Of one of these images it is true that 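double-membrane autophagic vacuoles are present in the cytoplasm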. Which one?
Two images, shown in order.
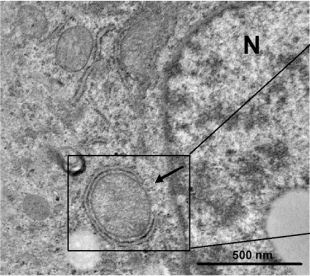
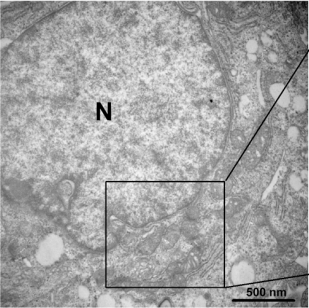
The first image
